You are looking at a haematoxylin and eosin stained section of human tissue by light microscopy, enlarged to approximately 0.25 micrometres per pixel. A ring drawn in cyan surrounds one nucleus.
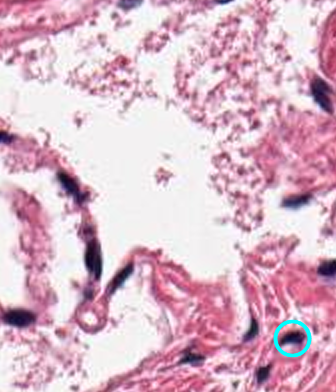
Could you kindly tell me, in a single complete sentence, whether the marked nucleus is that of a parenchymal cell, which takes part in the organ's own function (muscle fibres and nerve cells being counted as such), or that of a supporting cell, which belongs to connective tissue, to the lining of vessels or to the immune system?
The marked nucleus is contained in a supporting cell.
